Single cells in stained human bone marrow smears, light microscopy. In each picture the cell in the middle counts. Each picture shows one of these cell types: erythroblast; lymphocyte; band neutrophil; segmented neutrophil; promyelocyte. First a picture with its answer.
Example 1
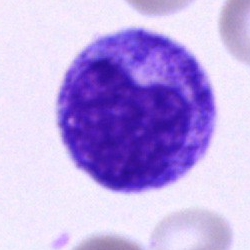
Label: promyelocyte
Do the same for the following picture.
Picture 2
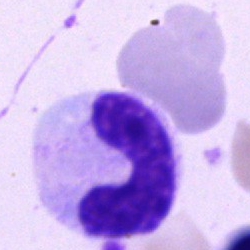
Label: band neutrophil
